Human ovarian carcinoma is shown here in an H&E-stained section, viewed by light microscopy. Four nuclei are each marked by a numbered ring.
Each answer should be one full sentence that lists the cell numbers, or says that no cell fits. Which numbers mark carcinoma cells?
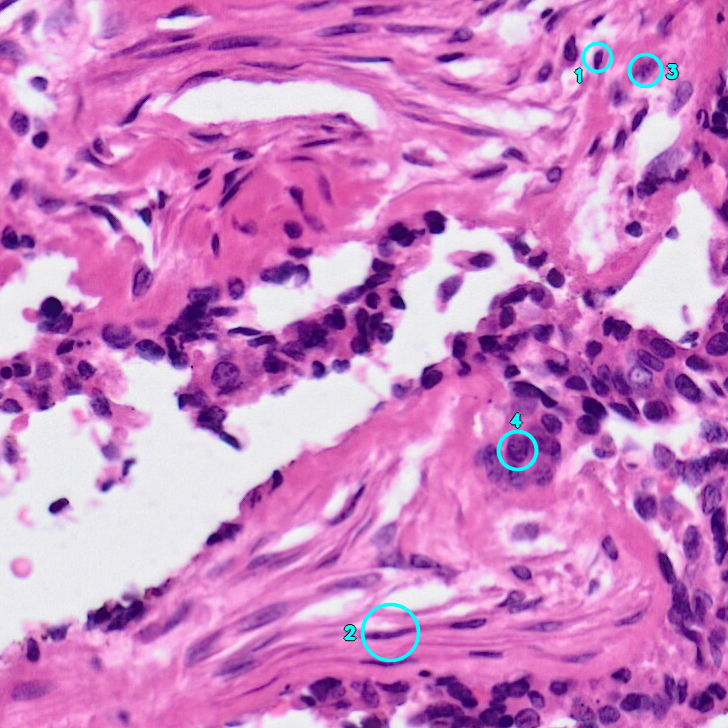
Cell number 4 alone is a carcinoma cell; the rest are not.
